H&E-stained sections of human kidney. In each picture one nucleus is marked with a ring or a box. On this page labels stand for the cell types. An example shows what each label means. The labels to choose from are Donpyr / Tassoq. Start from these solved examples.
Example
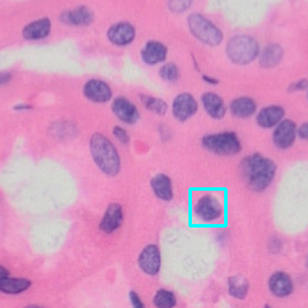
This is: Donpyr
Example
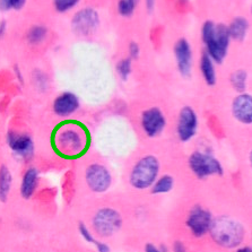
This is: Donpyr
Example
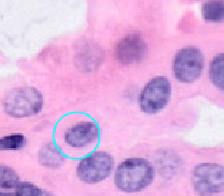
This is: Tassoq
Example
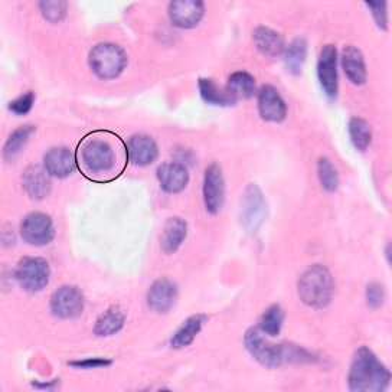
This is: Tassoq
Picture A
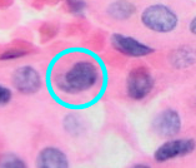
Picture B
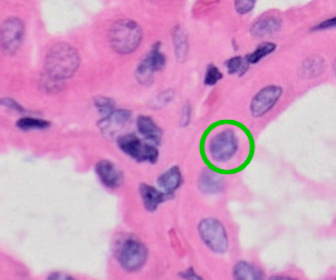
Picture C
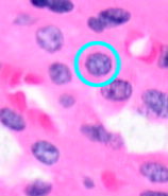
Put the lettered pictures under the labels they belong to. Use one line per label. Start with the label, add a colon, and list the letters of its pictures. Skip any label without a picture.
Donpyr: A, B, C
